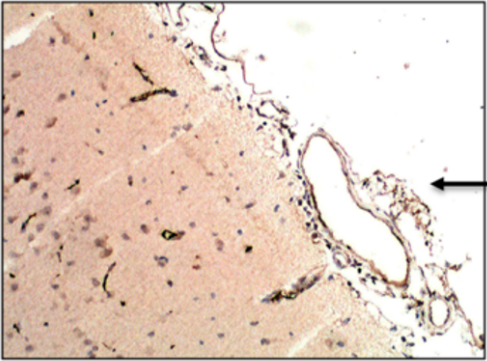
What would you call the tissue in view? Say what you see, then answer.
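Cortex. A broad field of fine, evenly textured neuropil fills most of the panel. Scattered cell bodies with blue nuclei lie within it. Thin capillary profiles run through the tissue. A thin membrane with a vessel covers its surface at one edge.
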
